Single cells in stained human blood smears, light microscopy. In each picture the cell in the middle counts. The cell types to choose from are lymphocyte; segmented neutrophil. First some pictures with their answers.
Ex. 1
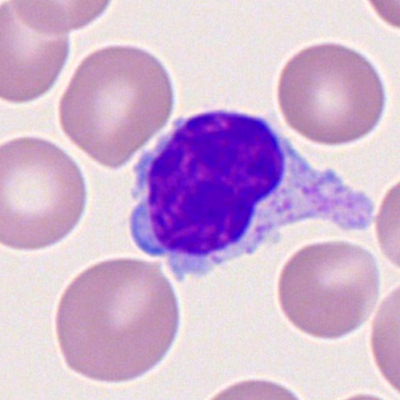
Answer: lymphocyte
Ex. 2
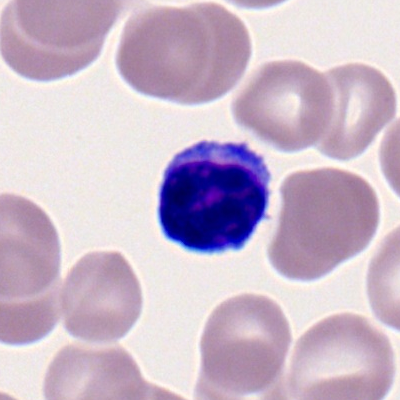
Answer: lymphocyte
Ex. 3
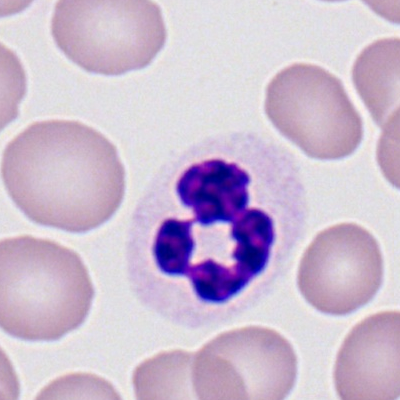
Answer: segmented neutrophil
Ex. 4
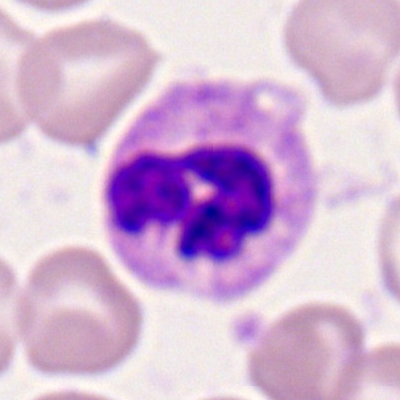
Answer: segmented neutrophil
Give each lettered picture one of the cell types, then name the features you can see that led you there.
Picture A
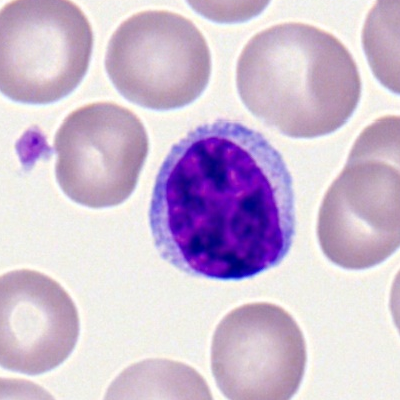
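lymphocyte. The nucleus fills most of the cell.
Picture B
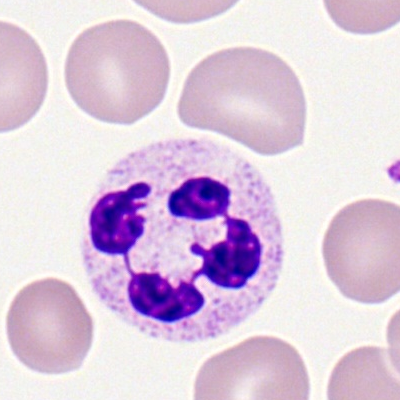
segmented neutrophil. The nucleus is split into four separate lobes arranged in a ring.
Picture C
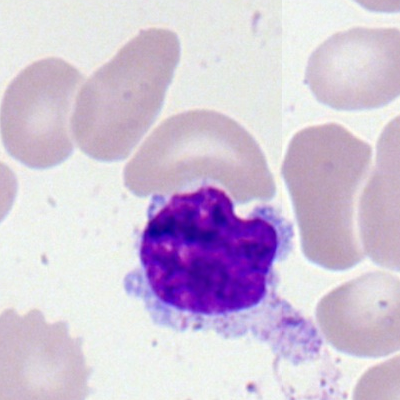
lymphocyte. The nucleus fills most of the cell.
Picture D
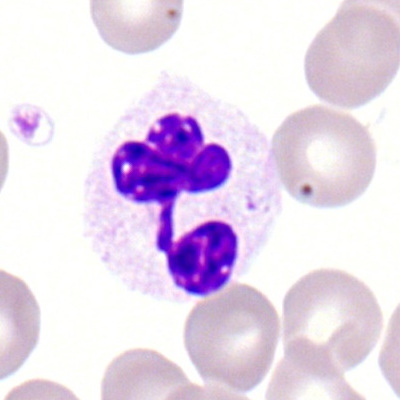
segmented neutrophil. The cytoplasm is plentiful and pale pink-lilac.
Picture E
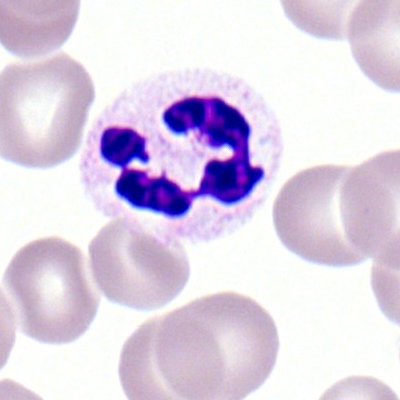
segmented neutrophil. The lobes are arranged in a ring around a central patch of cytoplasm.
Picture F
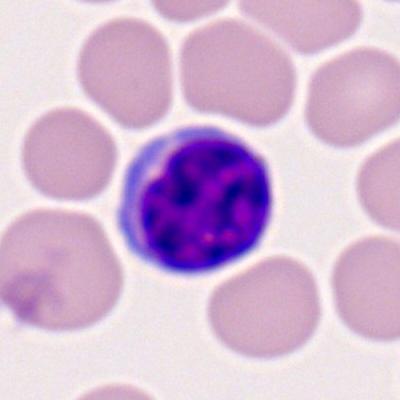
lymphocyte. The cytoplasm forms only a thin rim around the nucleus.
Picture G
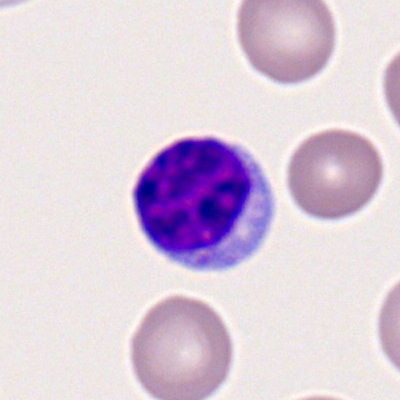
lymphocyte. The nucleus fills most of the cell.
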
